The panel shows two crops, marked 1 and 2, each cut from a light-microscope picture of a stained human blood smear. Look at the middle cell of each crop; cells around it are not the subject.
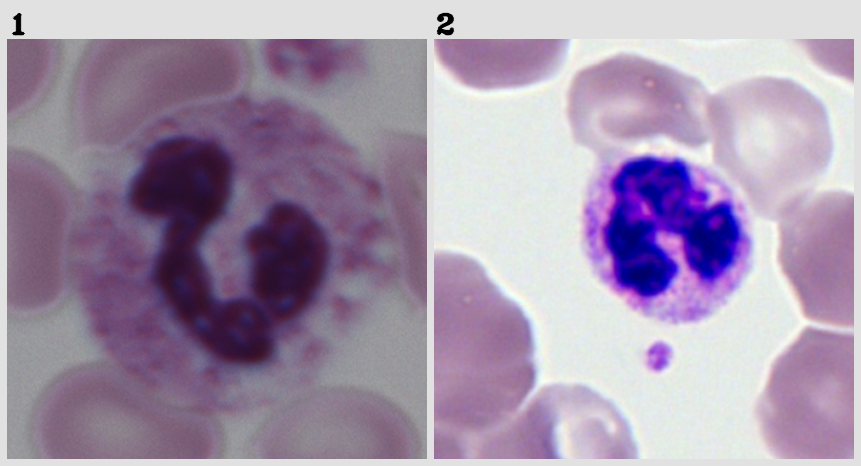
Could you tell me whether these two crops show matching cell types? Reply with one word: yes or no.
yes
